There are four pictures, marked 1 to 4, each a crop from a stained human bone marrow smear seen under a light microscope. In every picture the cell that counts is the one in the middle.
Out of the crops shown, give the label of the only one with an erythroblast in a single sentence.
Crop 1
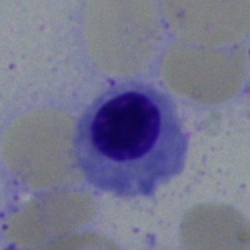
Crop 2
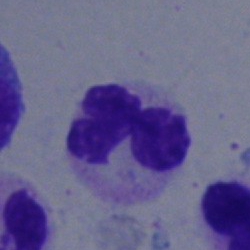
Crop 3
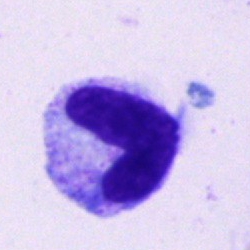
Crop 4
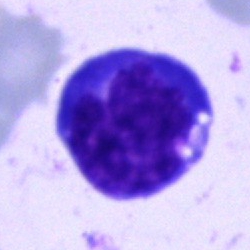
Only in crop 1 is an erythroblast shown.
